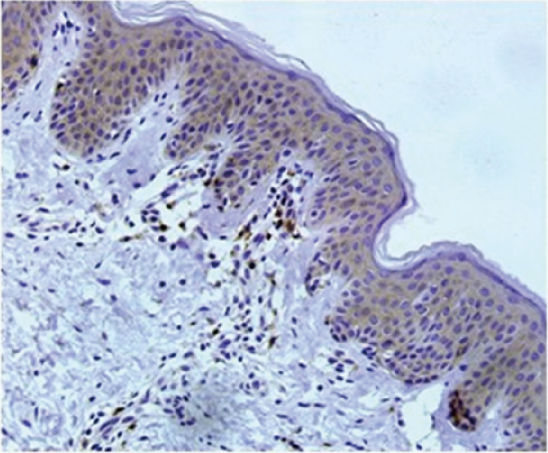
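This is skin, with a stratified squamous epidermis capped by a thin layered keratin and rete ridges resting on a loose, pale dermis. Only scattered small round cells with brown stain lie in the upper dermis, in small groups within the dermal papillae, among the blue spindle nuclei of the connective tissue. The epidermal cells show oval blue nuclei and a light tan cytoplasm.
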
